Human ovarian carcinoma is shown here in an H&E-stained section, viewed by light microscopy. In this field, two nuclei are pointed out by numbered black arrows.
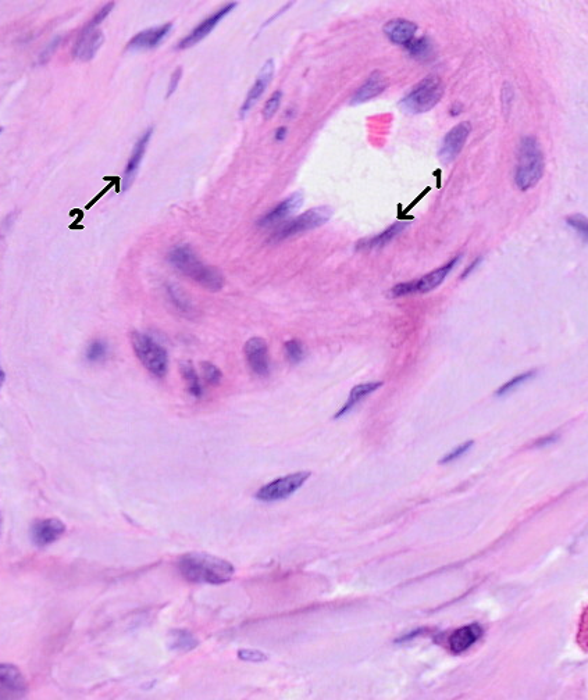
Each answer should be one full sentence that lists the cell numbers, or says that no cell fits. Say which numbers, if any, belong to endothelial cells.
Cell 1 is an endothelial cell, and that holds for no other numbered cell.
